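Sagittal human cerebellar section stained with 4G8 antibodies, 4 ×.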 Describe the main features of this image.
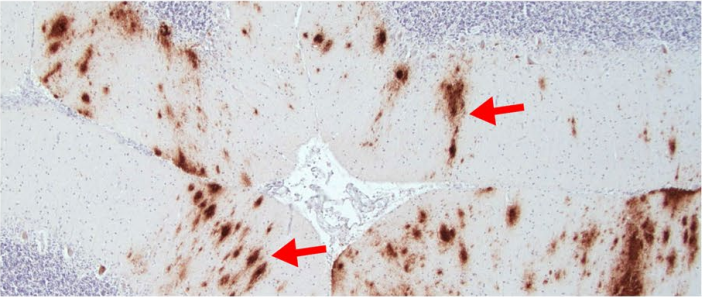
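Numerous dark brown deposits of varying size are scattered through the molecular layer, some round and compact, others elongated and streak-like. A few brown deposits also lie near the border with the granular layer, and a loose vessel-containing space separates the folia at the centre.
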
